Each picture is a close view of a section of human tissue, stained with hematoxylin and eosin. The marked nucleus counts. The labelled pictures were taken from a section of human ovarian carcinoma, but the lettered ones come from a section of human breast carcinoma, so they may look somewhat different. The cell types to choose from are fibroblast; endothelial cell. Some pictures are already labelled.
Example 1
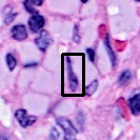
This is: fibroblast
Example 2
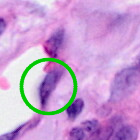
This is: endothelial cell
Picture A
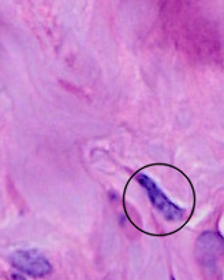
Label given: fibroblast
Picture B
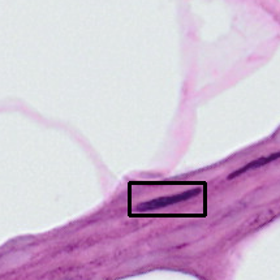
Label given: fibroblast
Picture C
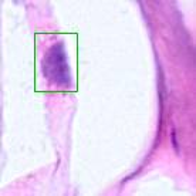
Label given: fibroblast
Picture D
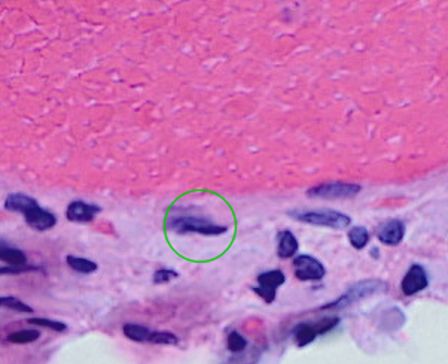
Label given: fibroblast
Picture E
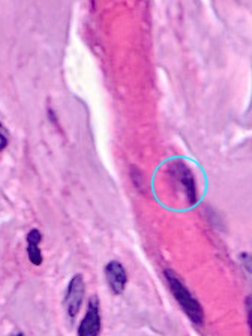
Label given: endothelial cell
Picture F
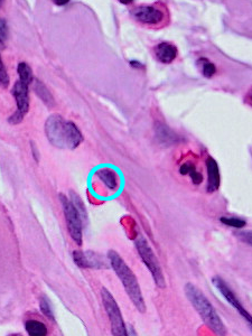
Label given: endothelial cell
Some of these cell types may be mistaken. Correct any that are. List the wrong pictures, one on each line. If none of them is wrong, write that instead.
Wrong: C (fibroblast); correct: endothelial cell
